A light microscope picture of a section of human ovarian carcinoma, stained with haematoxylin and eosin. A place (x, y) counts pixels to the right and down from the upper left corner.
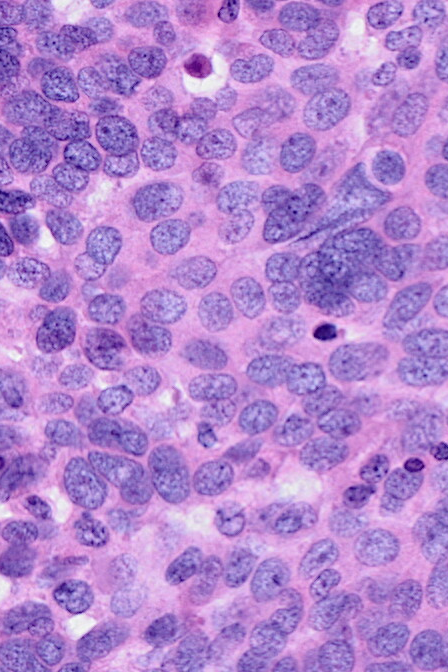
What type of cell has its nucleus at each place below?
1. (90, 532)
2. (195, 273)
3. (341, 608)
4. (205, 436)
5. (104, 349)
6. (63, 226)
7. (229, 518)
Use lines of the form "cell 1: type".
cell 1: macrophage or monocyte
cell 2: carcinoma cell
cell 3: carcinoma cell
cell 4: macrophage or monocyte
cell 5: carcinoma cell
cell 6: carcinoma cell
cell 7: macrophage or monocyte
